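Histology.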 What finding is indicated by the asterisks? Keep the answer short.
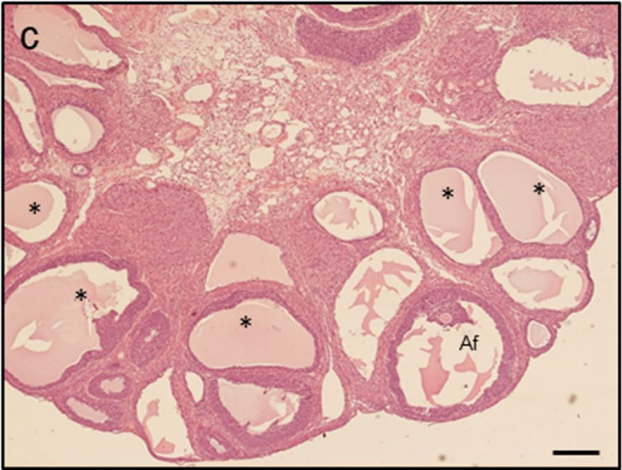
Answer: ovarian cysts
